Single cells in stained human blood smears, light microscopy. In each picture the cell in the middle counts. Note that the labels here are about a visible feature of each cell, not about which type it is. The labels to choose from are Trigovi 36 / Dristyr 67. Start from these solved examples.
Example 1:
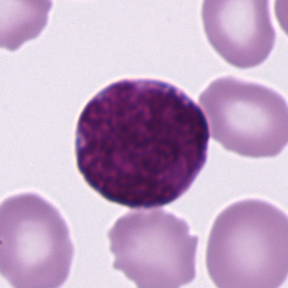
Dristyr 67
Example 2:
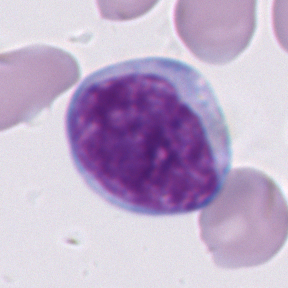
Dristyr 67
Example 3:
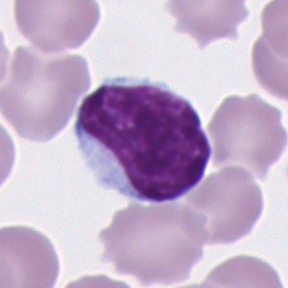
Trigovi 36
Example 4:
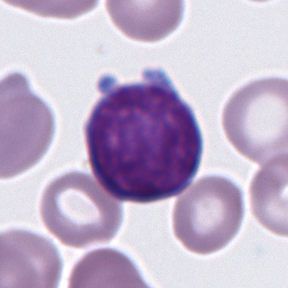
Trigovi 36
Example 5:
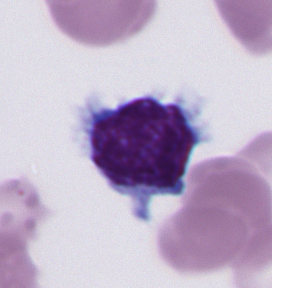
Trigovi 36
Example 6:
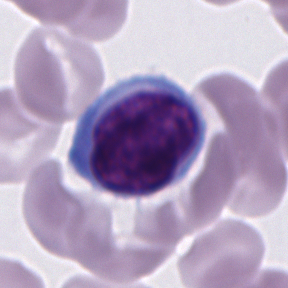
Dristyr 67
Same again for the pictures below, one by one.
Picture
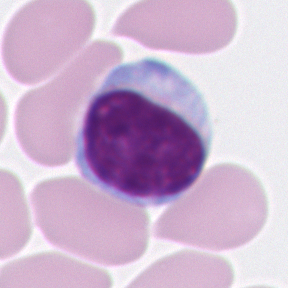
Dristyr 67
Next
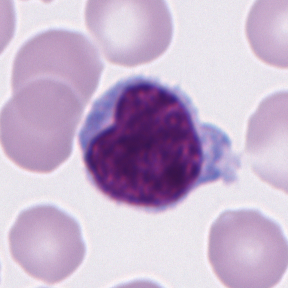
Trigovi 36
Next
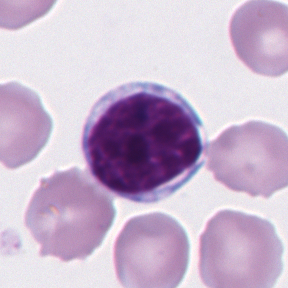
Dristyr 67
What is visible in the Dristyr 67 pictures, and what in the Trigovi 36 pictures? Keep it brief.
Dristyr 67, smooth outline; Trigovi 36, ragged outline or projections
